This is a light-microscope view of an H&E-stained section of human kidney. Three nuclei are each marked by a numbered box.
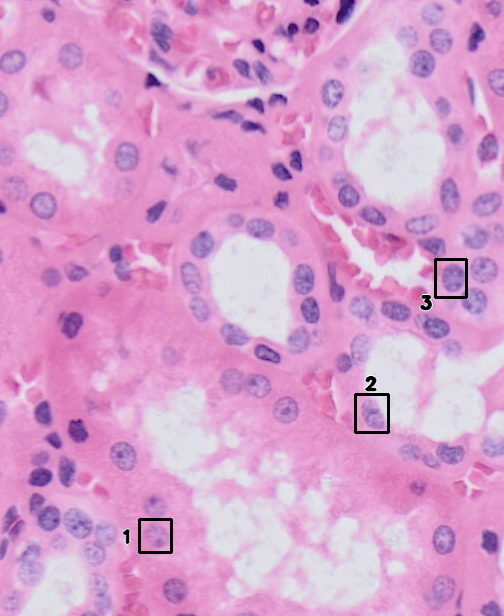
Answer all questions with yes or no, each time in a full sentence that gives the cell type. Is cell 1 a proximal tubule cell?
Yes, the numbered nucleus 1 is that of a proximal tubule cell.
